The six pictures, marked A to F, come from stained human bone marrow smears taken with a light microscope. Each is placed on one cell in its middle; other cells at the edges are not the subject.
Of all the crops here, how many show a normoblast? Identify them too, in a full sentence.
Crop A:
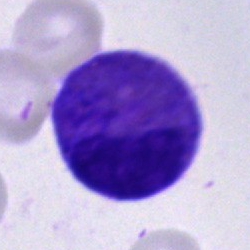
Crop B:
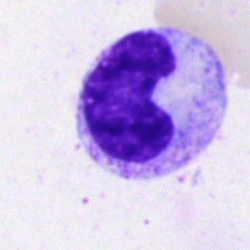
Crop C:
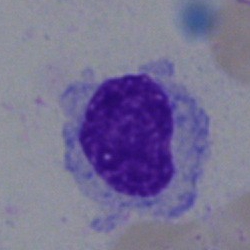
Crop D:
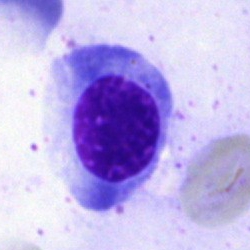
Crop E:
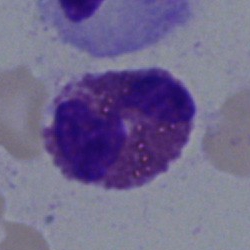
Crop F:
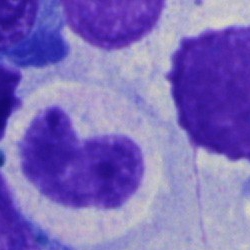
Just one crop holds a normoblast, and that crop is marked D.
